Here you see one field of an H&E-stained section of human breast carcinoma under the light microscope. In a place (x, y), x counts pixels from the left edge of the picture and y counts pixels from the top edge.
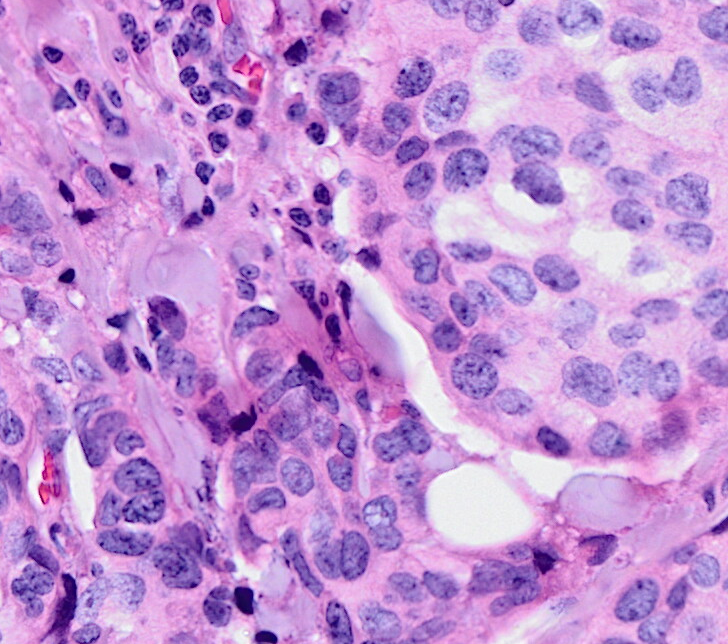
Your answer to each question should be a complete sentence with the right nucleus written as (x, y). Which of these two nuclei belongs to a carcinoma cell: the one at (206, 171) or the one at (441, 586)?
Here the nucleus at (441, 586) is the one that belongs to a carcinoma cell.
